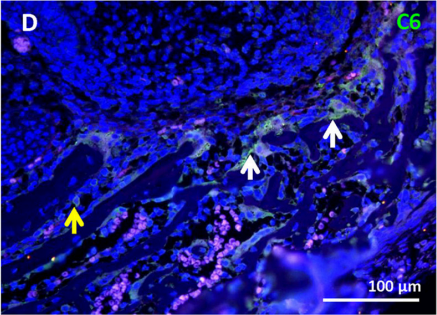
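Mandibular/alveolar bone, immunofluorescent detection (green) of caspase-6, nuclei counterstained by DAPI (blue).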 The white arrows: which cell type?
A: Osteoclasts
